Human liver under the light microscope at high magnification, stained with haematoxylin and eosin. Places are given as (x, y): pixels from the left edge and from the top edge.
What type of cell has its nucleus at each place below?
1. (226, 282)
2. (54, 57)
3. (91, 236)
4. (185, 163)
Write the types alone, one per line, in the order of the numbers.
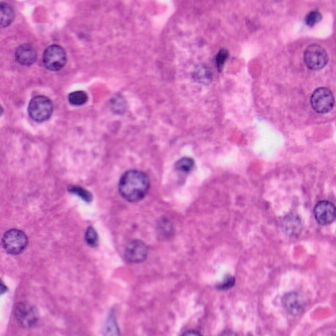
endothelial cell
hepatocyte
lymphocyte
lymphocyte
